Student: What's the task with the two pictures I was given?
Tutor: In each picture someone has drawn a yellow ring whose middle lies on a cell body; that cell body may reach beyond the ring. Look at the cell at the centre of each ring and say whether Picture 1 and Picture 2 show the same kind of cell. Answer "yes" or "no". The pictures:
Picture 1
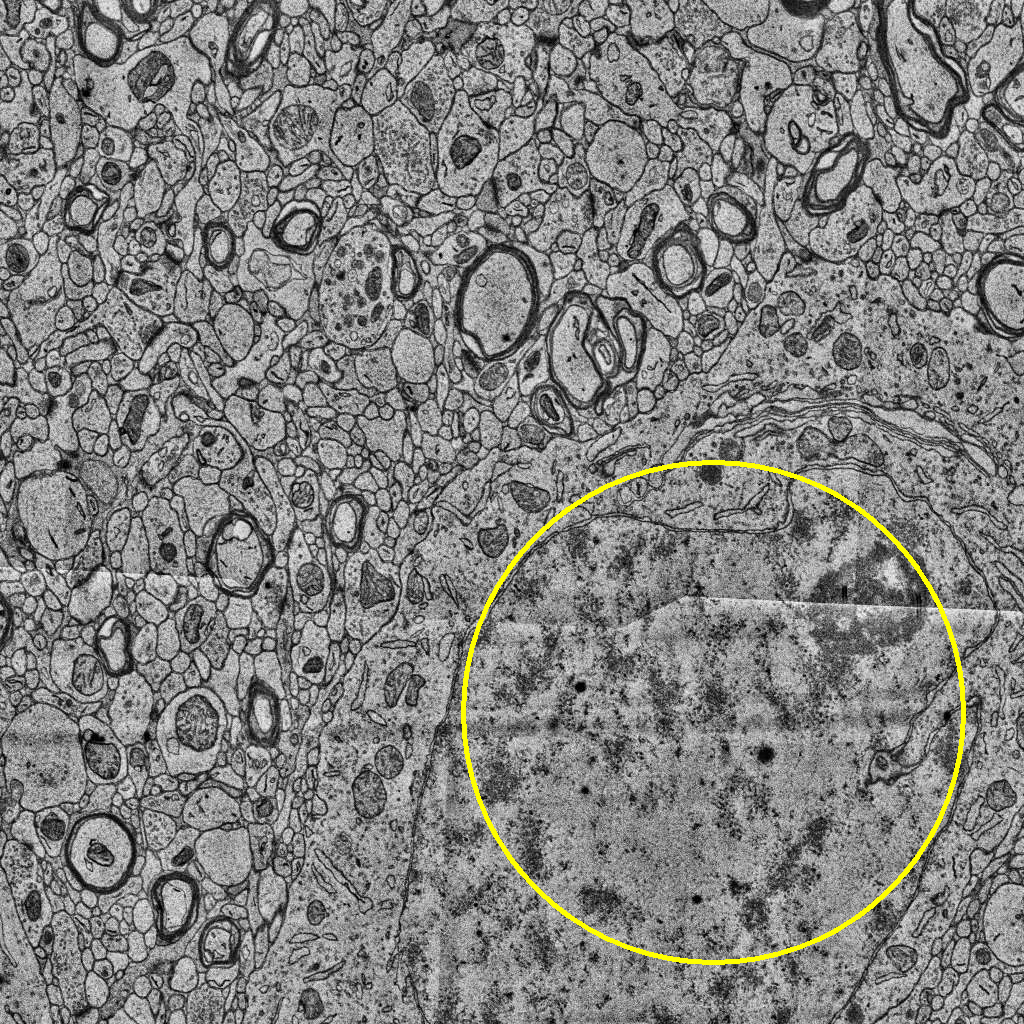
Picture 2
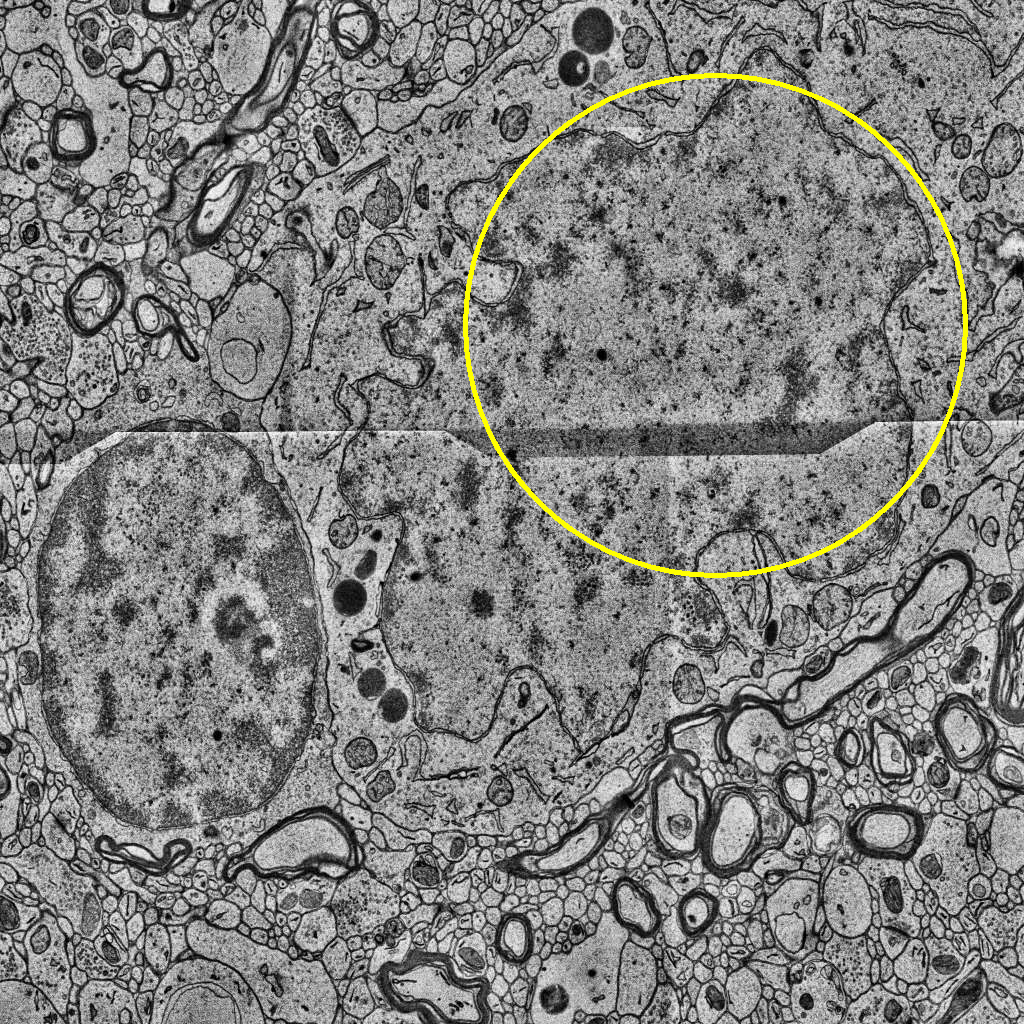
yes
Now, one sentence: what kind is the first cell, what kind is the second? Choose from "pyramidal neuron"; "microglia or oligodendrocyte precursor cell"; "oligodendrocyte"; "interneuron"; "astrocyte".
The cell in the first picture is an interneuron, and so is the one in the second.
